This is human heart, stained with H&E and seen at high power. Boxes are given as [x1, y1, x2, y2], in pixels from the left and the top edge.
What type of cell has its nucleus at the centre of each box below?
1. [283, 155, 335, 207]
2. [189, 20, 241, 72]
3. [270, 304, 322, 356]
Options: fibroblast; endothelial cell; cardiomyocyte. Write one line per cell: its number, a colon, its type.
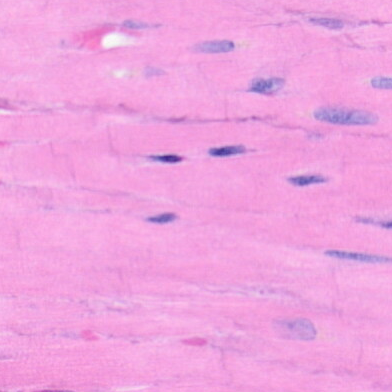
1: endothelial cell
2: cardiomyocyte
3: cardiomyocyte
